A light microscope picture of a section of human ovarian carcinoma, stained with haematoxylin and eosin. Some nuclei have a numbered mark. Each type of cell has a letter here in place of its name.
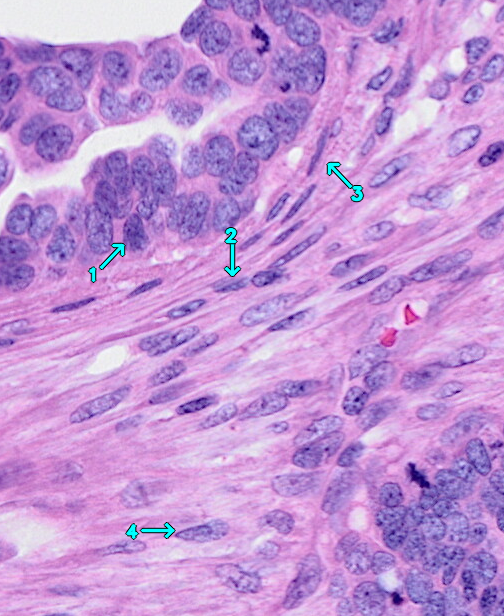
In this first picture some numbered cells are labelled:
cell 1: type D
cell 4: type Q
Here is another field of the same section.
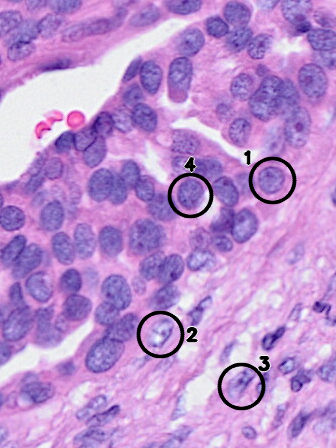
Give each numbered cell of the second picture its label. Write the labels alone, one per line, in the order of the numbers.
type D
type Q
type Q
type D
